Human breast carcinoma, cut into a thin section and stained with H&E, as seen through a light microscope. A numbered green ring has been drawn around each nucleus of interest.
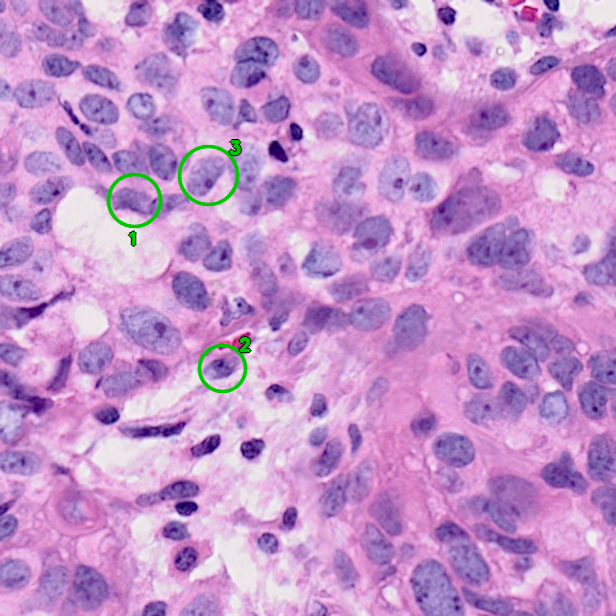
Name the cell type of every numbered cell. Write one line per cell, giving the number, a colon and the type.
1: carcinoma cell
2: endothelial cell
3: carcinoma cell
